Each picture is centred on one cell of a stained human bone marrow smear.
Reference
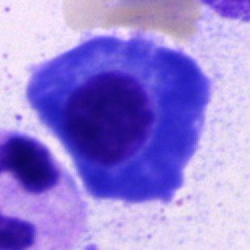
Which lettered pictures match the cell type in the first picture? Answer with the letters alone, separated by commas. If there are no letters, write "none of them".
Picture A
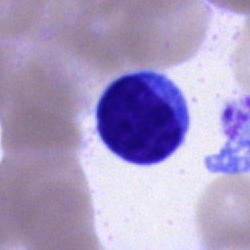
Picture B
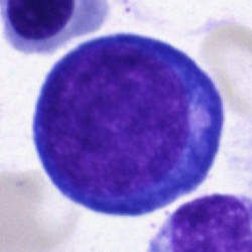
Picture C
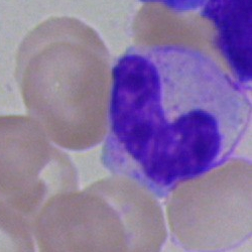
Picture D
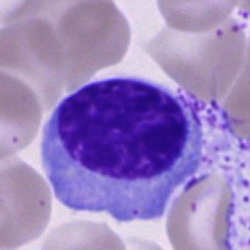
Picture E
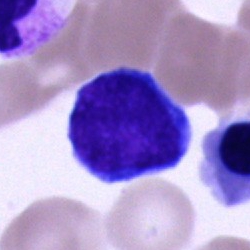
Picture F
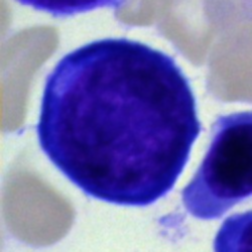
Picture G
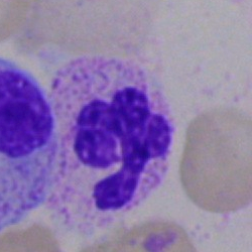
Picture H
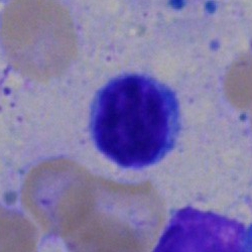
D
